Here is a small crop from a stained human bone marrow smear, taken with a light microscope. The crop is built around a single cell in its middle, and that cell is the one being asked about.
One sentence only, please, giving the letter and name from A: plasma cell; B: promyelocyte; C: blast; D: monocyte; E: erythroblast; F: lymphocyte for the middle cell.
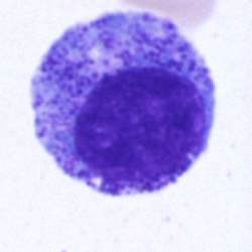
The cell at the heart of the crop is a promyelocyte, so choose option B.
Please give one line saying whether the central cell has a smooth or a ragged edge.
This cell has an uneven outline, either ragged or bearing projections.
